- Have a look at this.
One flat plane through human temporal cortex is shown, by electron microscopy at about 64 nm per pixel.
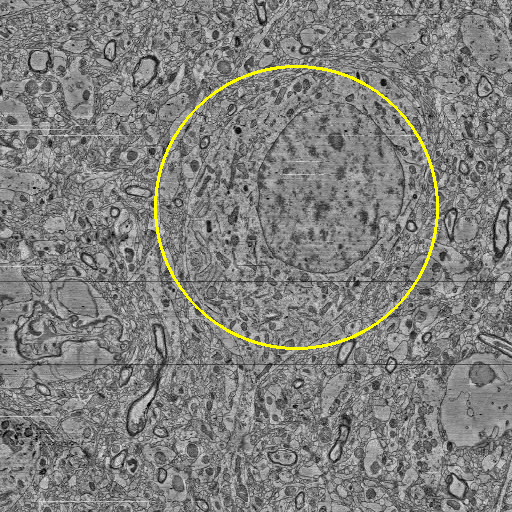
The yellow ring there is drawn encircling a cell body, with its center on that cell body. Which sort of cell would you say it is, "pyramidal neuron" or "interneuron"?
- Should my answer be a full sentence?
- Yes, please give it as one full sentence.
For this picture, an interneuron is the cell where the yellow ring has its center.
